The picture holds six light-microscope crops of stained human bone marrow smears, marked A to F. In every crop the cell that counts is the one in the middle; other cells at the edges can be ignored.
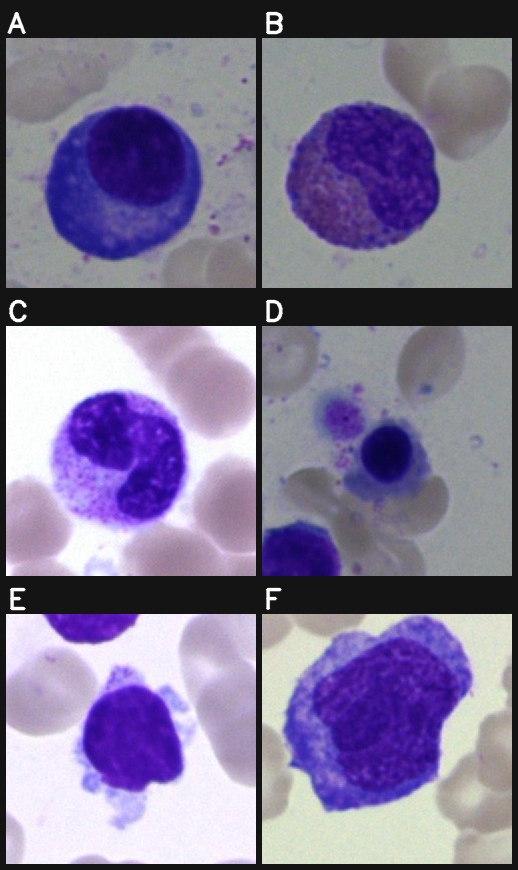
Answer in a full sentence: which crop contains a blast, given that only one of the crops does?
Crop F is the one in the set with a blast at the center.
